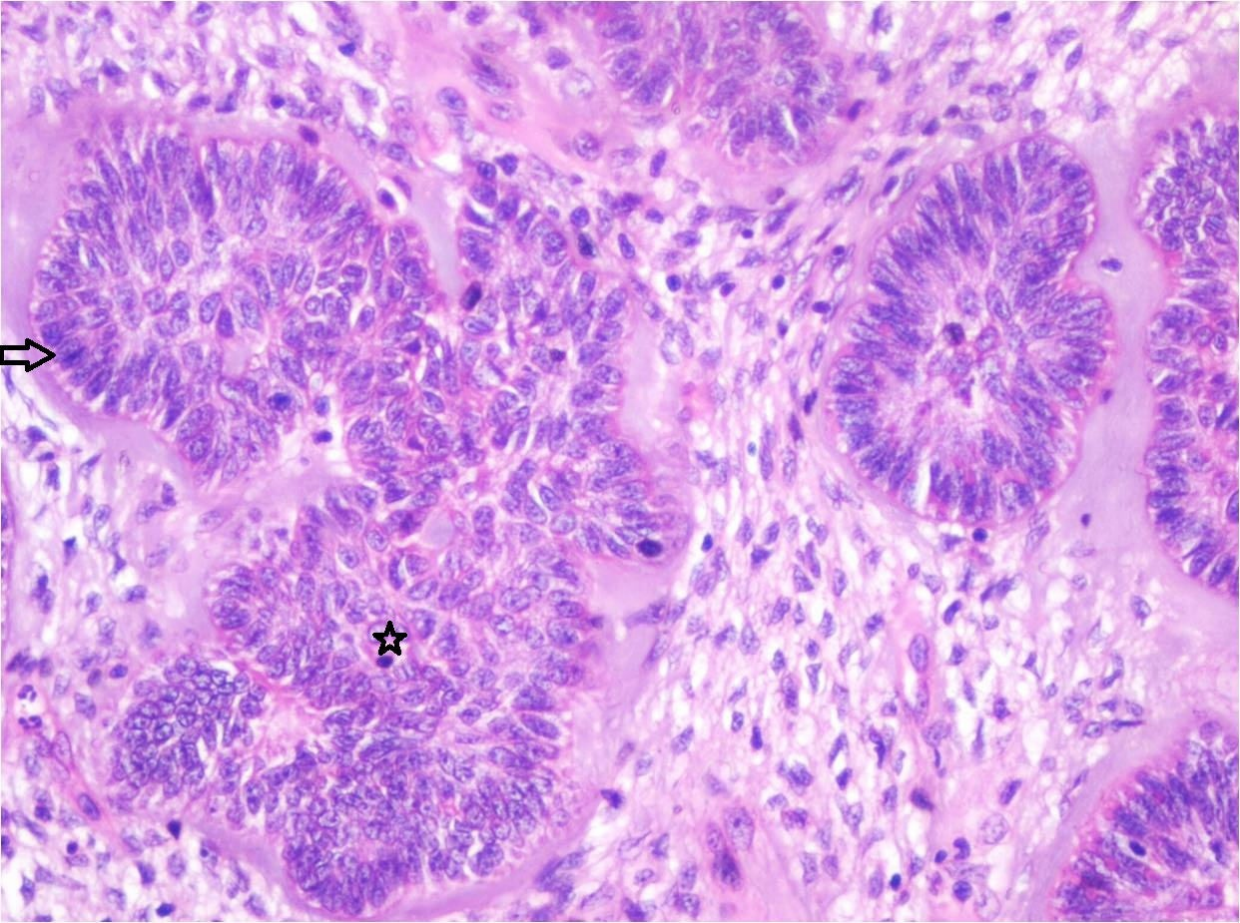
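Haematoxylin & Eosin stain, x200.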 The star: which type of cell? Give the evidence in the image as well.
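Central stellate reticulum like cells. The star lies in the centre of an epithelial nest. The cells there are less orderly and more loosely arranged than the palisaded cells at the rim.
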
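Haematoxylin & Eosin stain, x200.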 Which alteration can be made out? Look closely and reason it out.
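A band of pale pink, glassy, acellular material rims the epithelial nests.
Conclusion: pale eosinophilic hyalinized area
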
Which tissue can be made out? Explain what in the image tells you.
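Cell-rich ectomesenchyme. Between the nests lies a loose stroma.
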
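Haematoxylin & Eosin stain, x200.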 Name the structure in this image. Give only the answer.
Follicles of odontogenic epithelium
